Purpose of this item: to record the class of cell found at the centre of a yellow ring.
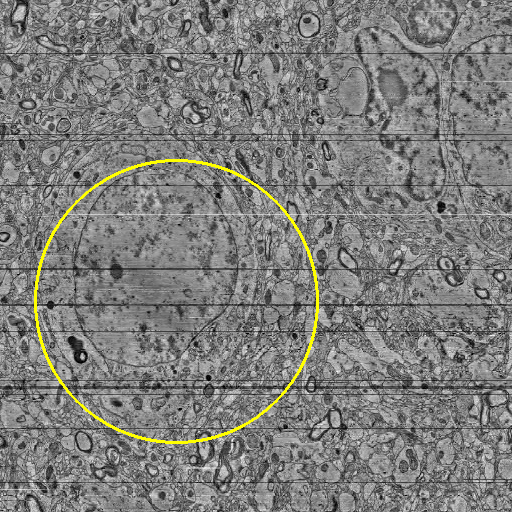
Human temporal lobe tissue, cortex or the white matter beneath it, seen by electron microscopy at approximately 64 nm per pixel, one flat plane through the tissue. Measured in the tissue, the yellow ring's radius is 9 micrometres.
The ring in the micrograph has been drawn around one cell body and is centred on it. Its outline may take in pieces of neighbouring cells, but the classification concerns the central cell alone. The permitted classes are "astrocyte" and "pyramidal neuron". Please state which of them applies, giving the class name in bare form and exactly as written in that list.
pyramidal neuron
